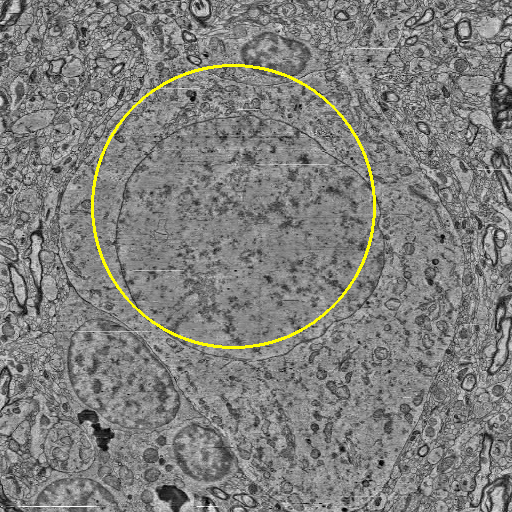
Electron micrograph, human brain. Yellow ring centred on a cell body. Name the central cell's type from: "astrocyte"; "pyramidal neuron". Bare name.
pyramidal neuron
